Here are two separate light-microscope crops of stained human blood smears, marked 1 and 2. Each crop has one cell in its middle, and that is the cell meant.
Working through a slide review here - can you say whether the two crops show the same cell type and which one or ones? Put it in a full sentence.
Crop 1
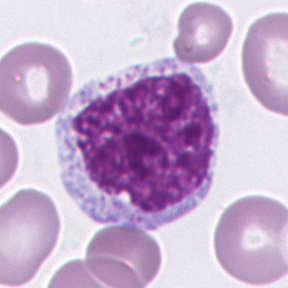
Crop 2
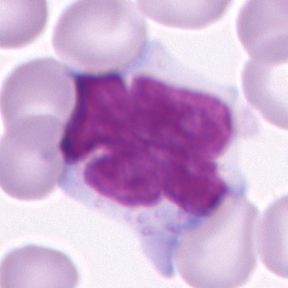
No, just to correct that: crop 1 shows a myelocyte, crop 2 shows a large granular lymphocyte.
